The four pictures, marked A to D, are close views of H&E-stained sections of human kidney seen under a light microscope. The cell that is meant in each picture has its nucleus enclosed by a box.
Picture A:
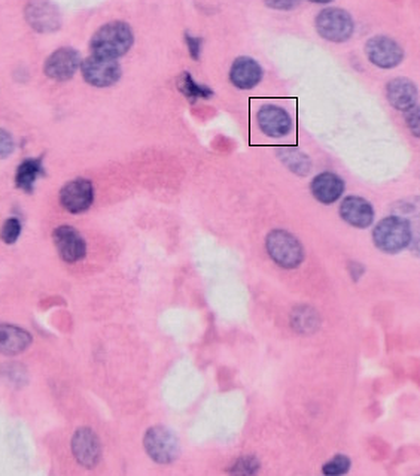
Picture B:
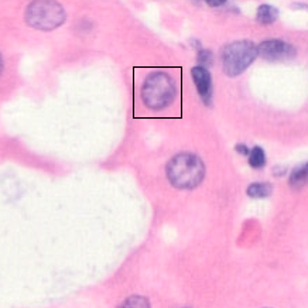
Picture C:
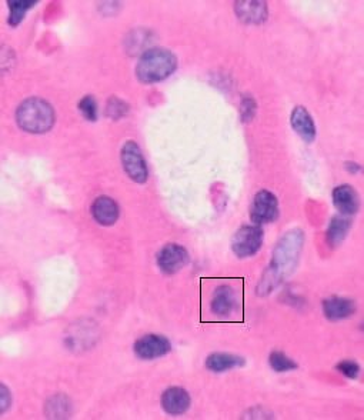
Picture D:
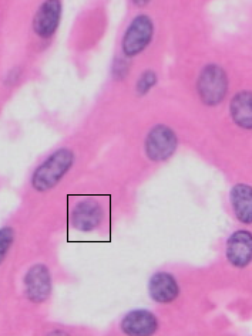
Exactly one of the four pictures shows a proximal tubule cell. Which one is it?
B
